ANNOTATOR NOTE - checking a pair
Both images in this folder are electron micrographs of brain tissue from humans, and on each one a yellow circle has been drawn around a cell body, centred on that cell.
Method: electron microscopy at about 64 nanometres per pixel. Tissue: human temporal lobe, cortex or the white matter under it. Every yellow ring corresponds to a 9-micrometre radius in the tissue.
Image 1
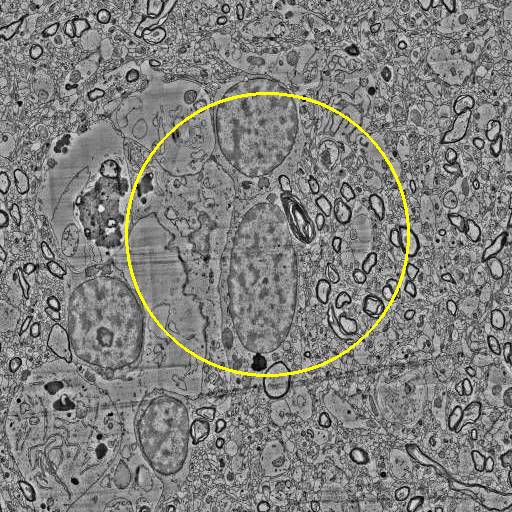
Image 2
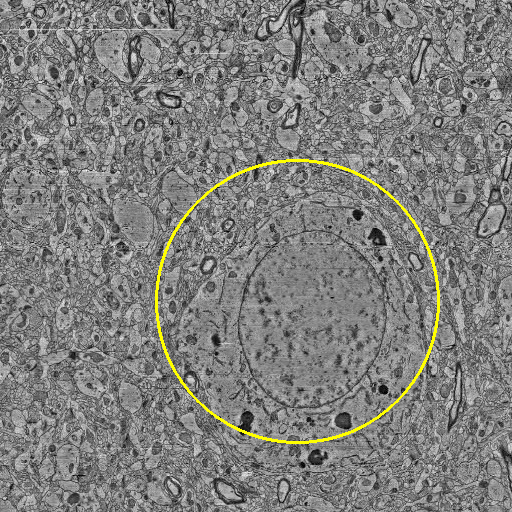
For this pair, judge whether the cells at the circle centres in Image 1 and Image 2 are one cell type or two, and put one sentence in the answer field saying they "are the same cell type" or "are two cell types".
For this pair, the cells at the circle centres in Images 1 and 2 are two cell types.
